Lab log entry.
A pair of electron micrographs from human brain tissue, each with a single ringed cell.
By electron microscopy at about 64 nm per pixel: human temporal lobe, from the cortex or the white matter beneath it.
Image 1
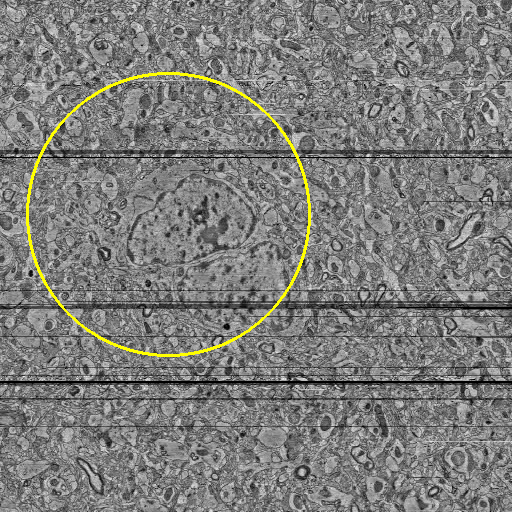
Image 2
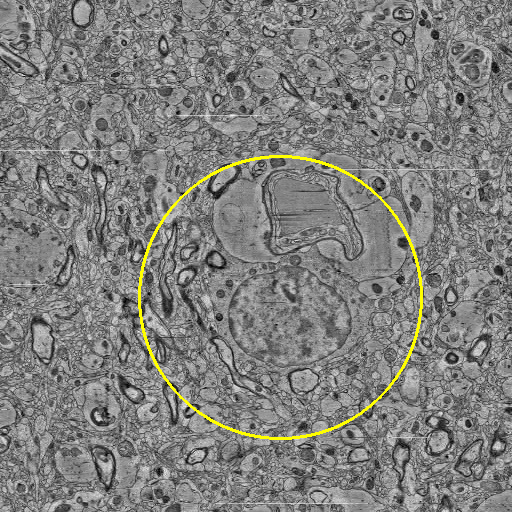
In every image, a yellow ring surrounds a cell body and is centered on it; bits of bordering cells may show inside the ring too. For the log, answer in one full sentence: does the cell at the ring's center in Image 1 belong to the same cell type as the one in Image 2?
No, the cells at the ring centers in Image 1 and Image 2 are of separate types.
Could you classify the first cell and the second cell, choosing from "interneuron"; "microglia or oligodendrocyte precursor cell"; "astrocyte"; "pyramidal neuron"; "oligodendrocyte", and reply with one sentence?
The second cell is an oligodendrocyte, while the first is an astrocyte.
